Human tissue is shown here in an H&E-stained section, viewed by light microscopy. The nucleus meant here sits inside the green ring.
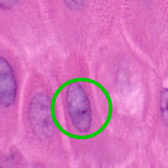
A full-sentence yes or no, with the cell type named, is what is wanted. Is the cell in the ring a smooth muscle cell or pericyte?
No, the cell in the ring is a keratinocyte; it is not a smooth muscle cell or pericyte.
